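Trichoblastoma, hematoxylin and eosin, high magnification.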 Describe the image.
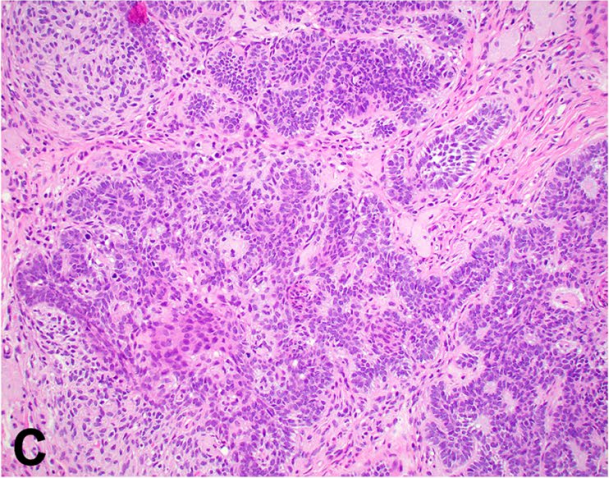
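Irregular sheets and cords of basaloid cells with dark oval nuclei and scant cytoplasm lie in a pale pink, loose cellular stroma with spindle-shaped nuclei. Within the sheets there are small clear round spaces around which cells are gathered, giving a gland-like look. The epithelial cells crowd together at the edges of the cords. This is a basaloid tumor with occasional pseudoglandular formation.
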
